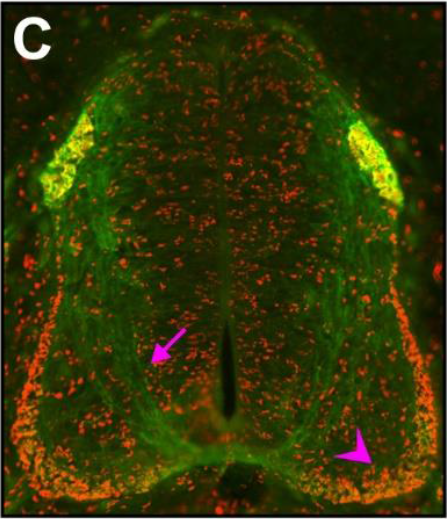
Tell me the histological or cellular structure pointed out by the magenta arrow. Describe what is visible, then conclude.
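Pre-crossing axons. The arrow points to green fibres running ventrally beside the central canal. Little red lies along these fibres.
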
